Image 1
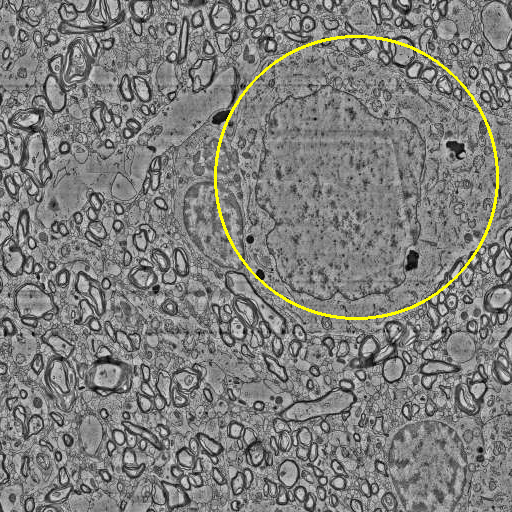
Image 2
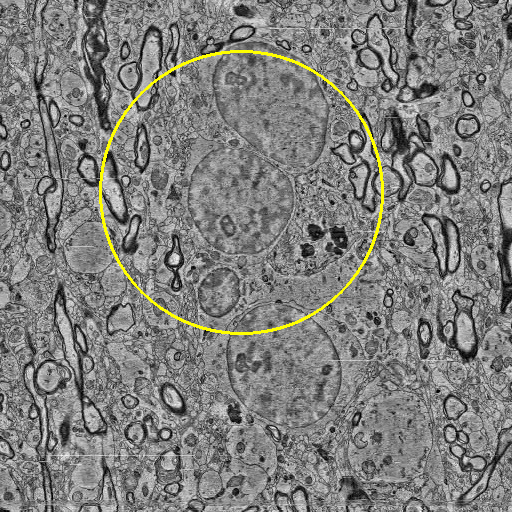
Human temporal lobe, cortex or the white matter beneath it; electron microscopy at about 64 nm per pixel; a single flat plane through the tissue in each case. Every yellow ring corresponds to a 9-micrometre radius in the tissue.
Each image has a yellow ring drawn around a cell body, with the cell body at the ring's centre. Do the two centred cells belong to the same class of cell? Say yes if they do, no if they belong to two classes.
no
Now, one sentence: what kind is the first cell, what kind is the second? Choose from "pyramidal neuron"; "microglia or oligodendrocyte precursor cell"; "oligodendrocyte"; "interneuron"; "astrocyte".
The first picture has a pyramidal neuron at its ring centre, and the second has an oligodendrocyte.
